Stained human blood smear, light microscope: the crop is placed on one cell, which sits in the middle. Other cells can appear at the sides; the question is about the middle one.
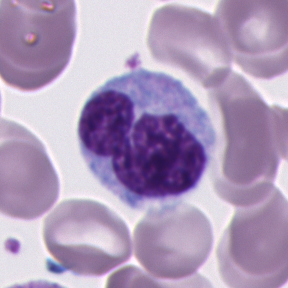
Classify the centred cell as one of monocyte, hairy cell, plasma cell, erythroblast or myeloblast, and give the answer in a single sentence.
In the center of this field lies a monocyte.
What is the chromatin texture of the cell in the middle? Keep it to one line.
Chromatin in the nucleus here is coarsely clumped.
